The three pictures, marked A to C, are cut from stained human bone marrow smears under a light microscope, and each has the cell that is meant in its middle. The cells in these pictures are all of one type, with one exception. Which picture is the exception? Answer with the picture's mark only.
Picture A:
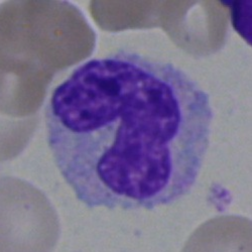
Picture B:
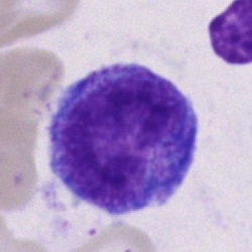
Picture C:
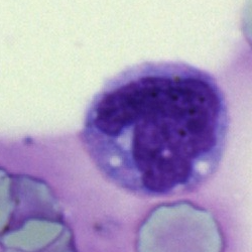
B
